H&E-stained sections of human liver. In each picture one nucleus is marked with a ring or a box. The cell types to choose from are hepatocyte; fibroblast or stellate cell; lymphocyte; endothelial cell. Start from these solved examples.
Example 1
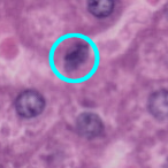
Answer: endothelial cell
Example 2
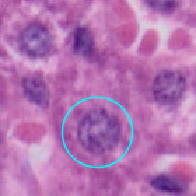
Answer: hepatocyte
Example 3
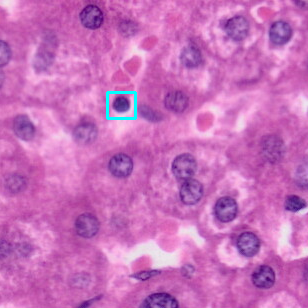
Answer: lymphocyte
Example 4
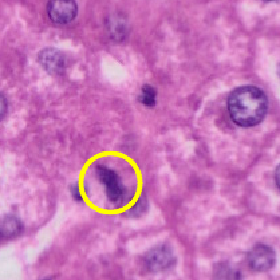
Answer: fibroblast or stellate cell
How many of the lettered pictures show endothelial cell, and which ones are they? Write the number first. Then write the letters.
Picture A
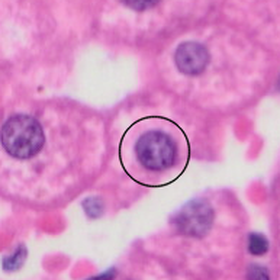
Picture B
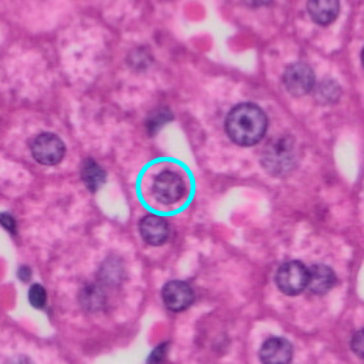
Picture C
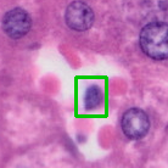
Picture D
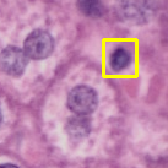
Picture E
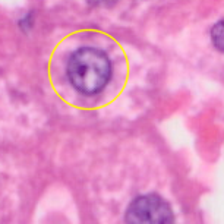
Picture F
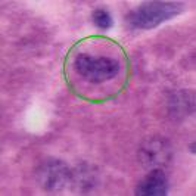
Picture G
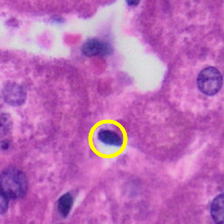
0, none of them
